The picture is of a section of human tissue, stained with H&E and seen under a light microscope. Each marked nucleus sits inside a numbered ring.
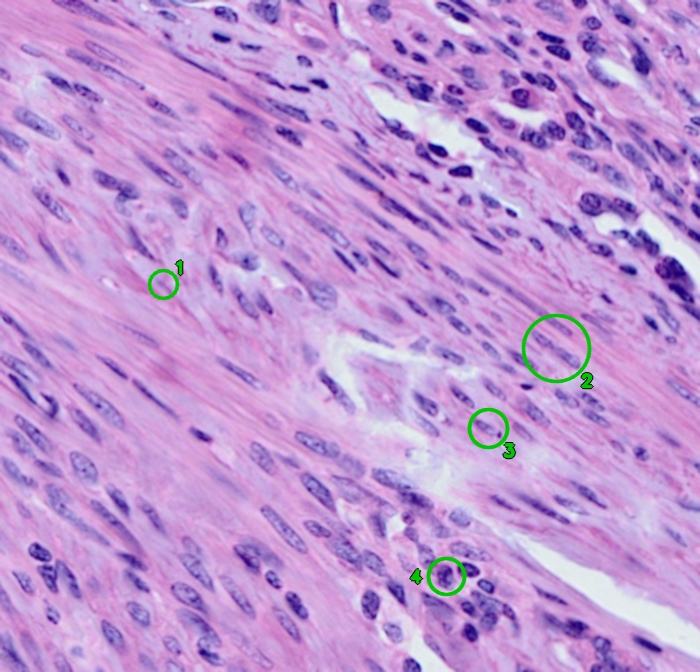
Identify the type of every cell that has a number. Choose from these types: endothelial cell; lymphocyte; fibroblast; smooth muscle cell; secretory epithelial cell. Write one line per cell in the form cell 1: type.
cell 1: smooth muscle cell
cell 2: smooth muscle cell
cell 3: smooth muscle cell
cell 4: lymphocyte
